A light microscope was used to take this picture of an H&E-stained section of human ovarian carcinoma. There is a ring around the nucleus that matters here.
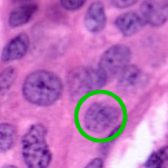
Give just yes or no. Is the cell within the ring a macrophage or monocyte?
no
